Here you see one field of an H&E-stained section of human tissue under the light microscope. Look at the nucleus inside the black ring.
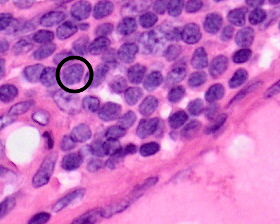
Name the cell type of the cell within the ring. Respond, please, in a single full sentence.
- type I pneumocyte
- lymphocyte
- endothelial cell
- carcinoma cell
Right, so the cell within the ring is a lymphocyte, to answer that.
